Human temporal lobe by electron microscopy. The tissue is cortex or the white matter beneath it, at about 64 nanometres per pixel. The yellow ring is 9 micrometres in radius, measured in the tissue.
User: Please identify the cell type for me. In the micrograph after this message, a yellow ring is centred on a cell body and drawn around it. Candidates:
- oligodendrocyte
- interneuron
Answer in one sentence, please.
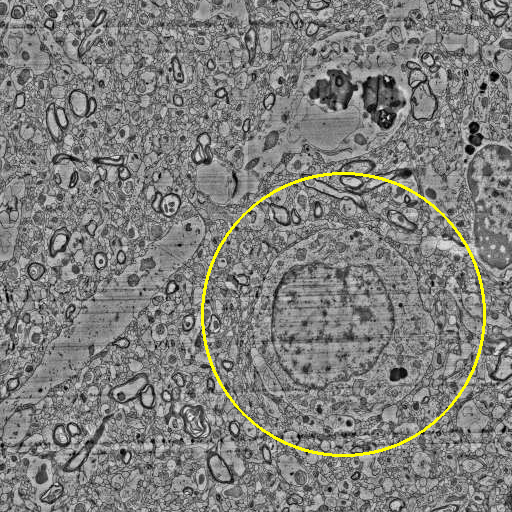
The ring is drawn around the cell body of an interneuron.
